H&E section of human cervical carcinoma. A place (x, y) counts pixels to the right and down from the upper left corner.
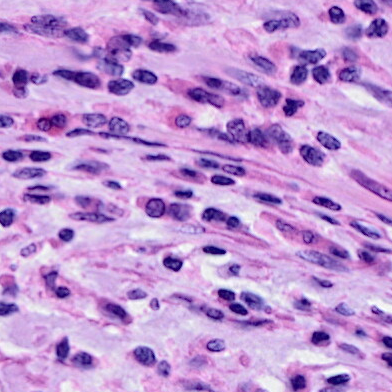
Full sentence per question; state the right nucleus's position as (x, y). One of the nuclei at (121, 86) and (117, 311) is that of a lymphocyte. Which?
Belonging to a lymphocyte is the nucleus at (121, 86).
